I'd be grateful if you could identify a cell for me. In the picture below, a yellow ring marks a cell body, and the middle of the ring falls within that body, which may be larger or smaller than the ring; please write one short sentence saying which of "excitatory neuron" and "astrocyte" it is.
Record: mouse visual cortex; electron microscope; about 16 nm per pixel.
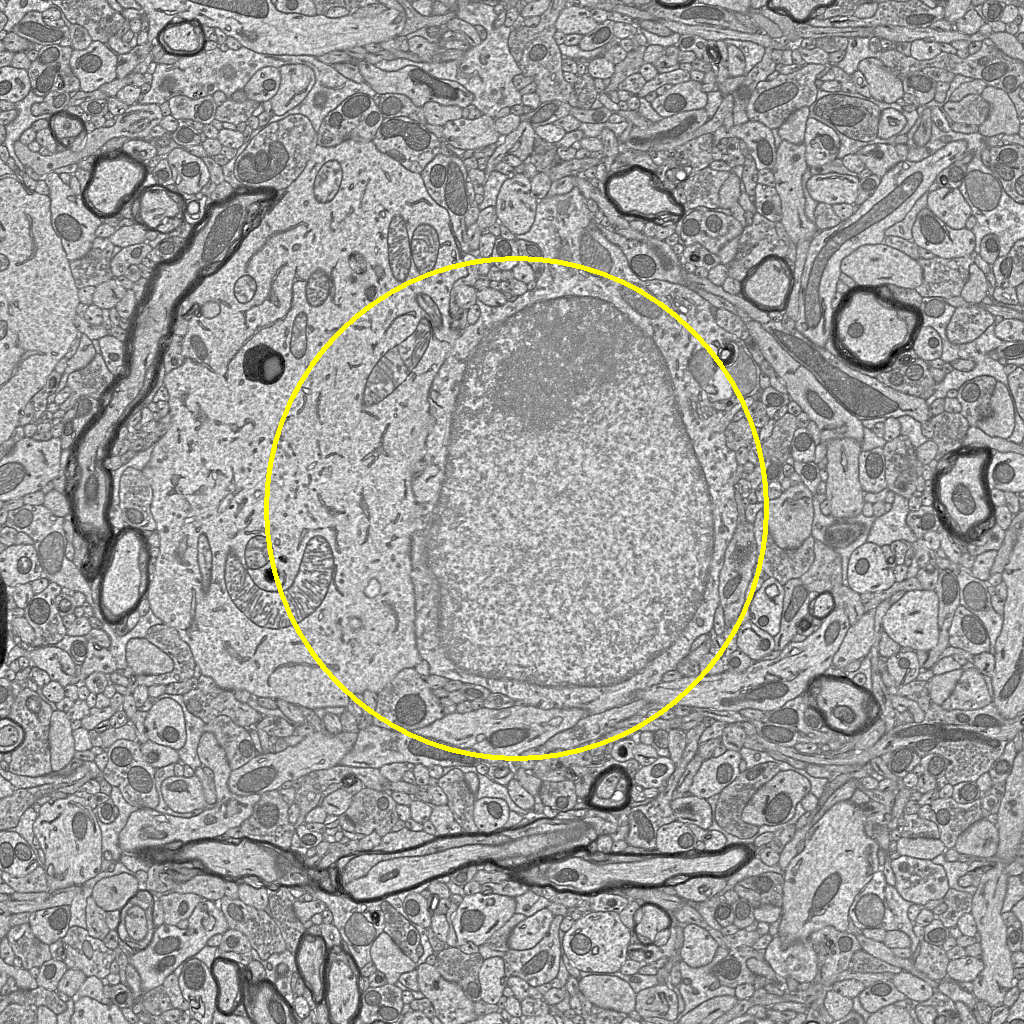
The cell under the ring's centre is an astrocyte.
